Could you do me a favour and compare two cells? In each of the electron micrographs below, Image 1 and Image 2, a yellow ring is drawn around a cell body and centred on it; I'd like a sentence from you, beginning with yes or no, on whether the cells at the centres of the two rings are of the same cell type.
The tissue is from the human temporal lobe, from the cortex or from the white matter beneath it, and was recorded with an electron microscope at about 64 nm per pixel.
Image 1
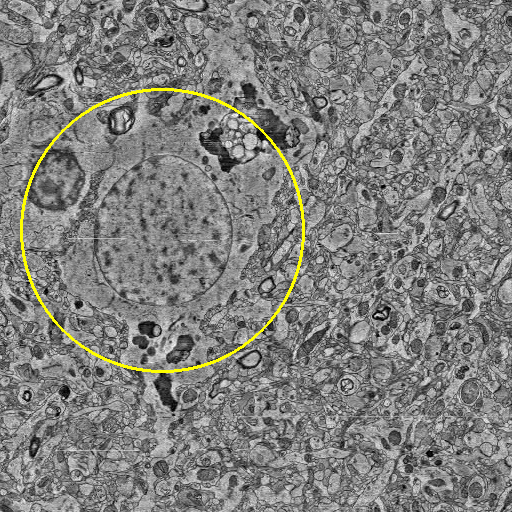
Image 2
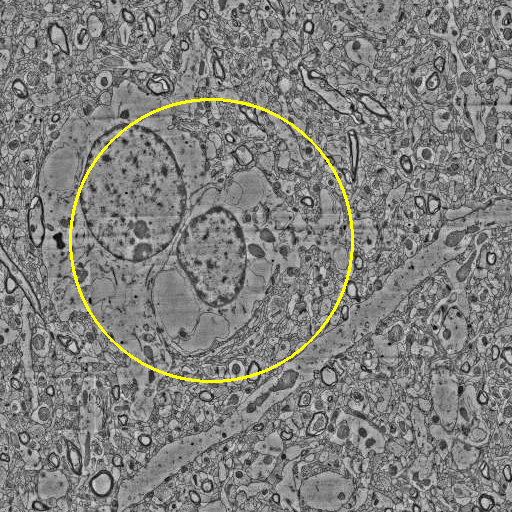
Yes, the two cells are of the same cell type.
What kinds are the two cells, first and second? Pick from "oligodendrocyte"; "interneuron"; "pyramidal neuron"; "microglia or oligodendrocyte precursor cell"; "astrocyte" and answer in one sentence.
Each of the two pictures has an astrocyte at the ring centre.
